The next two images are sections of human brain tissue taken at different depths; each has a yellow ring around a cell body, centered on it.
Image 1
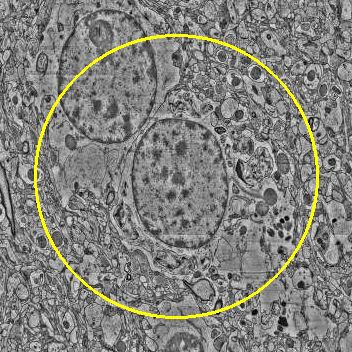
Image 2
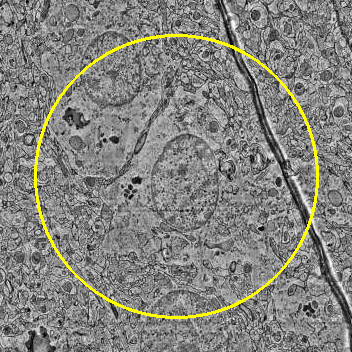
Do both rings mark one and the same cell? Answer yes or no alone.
yes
